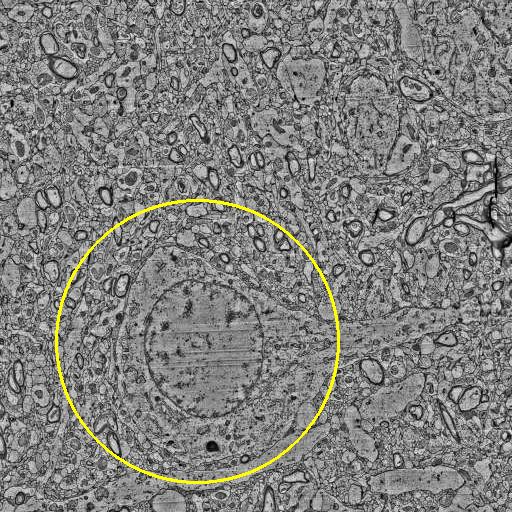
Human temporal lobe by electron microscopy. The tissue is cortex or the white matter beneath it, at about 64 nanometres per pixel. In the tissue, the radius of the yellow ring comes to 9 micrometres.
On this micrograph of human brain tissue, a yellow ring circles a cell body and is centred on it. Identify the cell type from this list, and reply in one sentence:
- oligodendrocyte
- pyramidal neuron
The cell at the centre is a pyramidal neuron.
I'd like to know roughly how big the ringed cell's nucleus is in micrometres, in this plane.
The nucleus of the ringed cell is approximately 9 by 8 micrometres in this plane.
